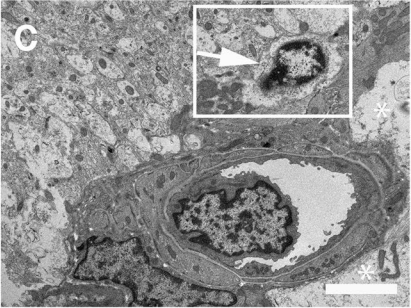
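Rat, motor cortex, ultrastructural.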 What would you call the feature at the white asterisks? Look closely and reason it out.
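Pale, electron-lucent swollen profiles lie against the outer wall of the vessel.
Conclusion: swollen astrocytic feet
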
